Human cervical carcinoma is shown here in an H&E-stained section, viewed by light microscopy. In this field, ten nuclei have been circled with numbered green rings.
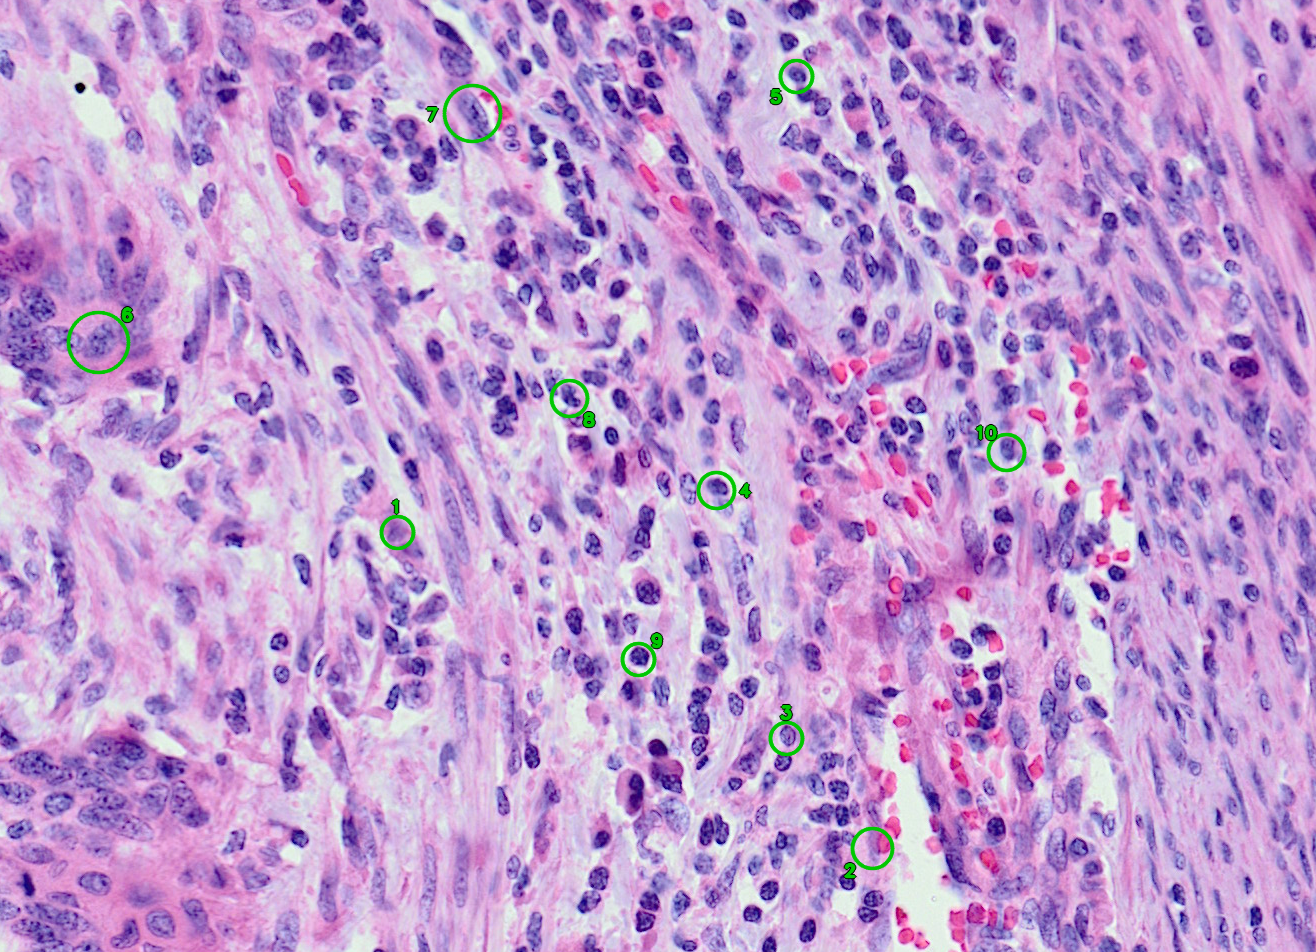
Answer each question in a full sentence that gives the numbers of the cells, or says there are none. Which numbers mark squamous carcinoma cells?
Cell 6 is a squamous carcinoma cell; the remaining numbered cells are not.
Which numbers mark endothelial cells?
The cells referred to by the numbers 2 and 7 are endothelial cells.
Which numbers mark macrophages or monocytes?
Only the cell numbered 1 qualifies as a macrophage or monocyte among the marked cells.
